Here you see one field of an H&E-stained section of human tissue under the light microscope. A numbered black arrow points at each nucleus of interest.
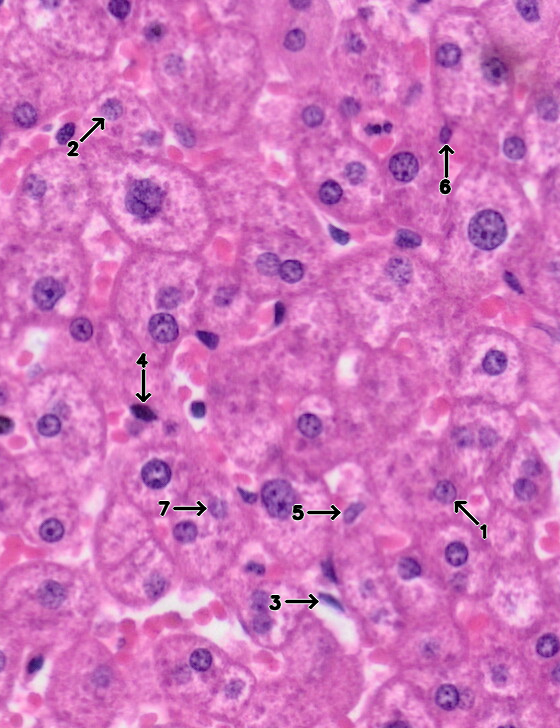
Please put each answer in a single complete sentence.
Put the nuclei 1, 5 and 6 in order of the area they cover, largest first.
Going from the biggest nucleus down to the smallest gives 1, 5, 6.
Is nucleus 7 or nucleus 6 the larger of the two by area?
Nucleus 7 is larger, with an area about 1.5 times that of nucleus 6.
